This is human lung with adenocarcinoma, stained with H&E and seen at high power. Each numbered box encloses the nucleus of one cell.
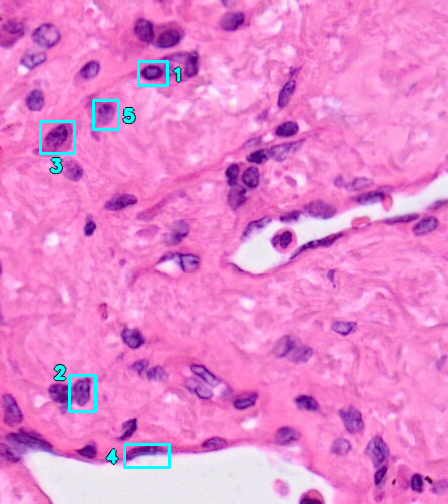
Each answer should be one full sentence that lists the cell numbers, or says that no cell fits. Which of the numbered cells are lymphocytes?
Cell 2 is a lymphocyte, while all remaining marked cells are of other types.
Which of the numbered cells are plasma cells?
On this slide, the cells numbered 3 and 5 are plasma cells.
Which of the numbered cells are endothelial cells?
Only cell 4 qualifies as an endothelial cell among the numbered cells.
